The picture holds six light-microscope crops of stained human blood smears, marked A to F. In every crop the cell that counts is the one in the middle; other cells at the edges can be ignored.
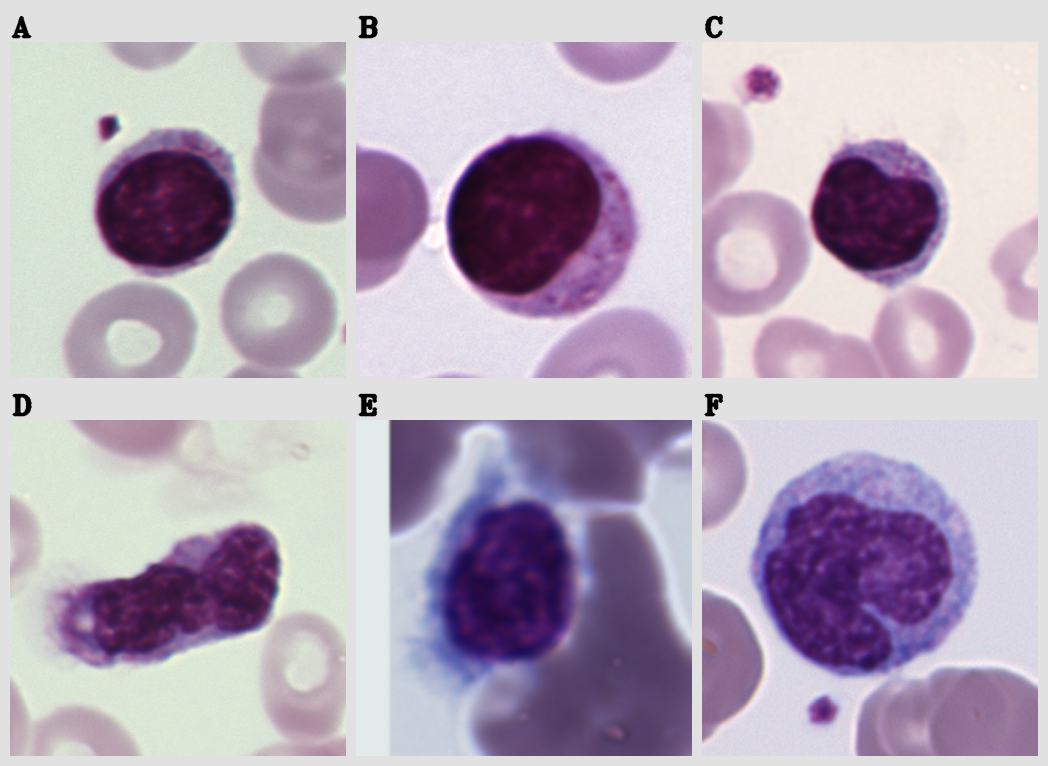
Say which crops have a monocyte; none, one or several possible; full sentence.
The middle cells of crops D and F are monocytes.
